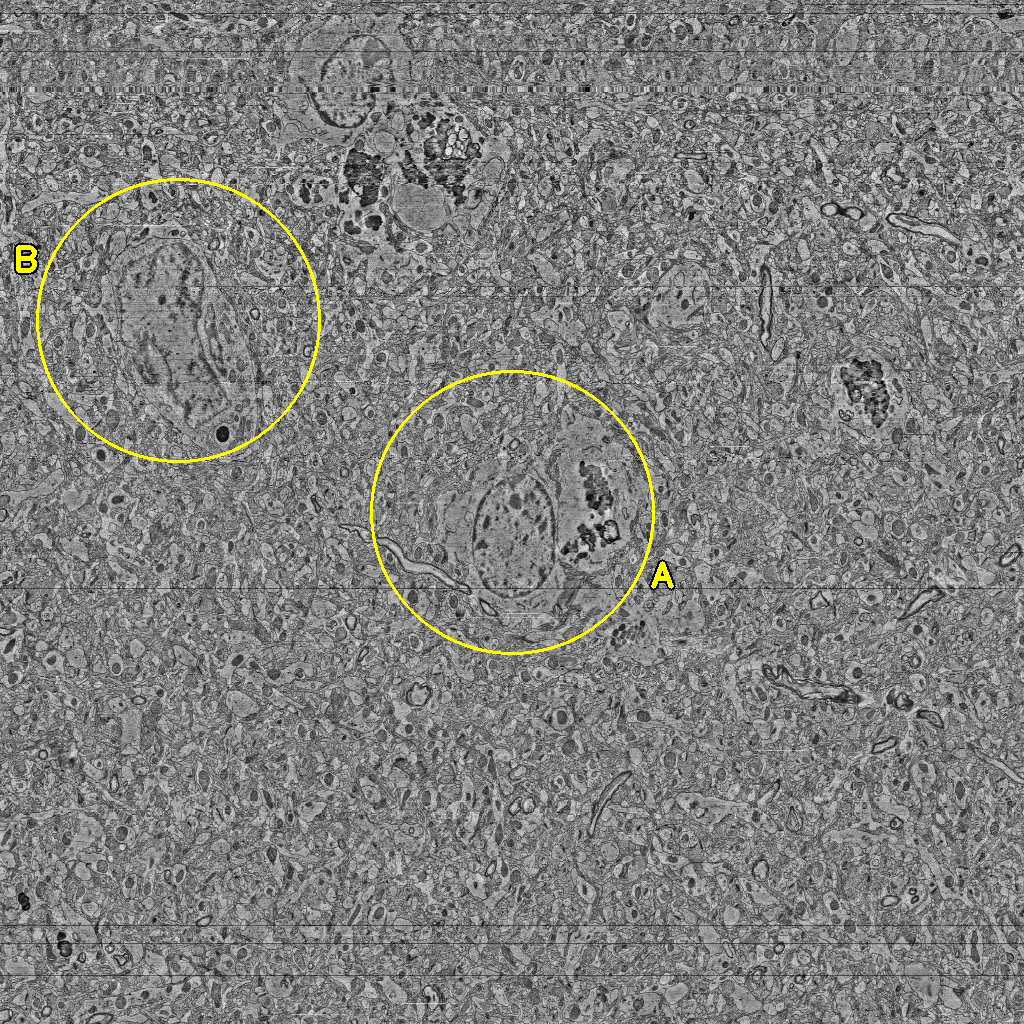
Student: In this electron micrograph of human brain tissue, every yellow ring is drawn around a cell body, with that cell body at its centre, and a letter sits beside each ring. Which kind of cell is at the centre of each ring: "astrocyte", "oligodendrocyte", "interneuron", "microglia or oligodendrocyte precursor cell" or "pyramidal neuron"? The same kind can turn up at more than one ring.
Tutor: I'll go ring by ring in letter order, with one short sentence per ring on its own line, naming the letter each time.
Ring A: the cell at its centre is an astrocyte.
Ring B: the cell at its centre is an interneuron.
